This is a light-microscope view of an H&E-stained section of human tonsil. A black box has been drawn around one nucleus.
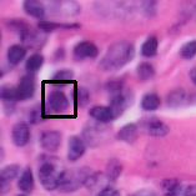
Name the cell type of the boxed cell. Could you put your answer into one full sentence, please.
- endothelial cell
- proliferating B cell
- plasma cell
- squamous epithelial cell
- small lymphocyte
Typologically, the boxed cell is a small lymphocyte in this section.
